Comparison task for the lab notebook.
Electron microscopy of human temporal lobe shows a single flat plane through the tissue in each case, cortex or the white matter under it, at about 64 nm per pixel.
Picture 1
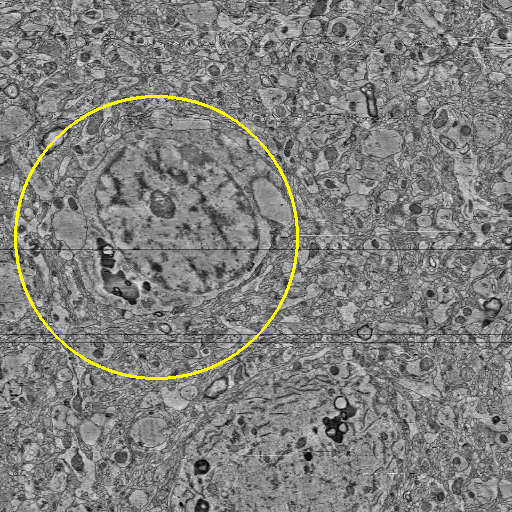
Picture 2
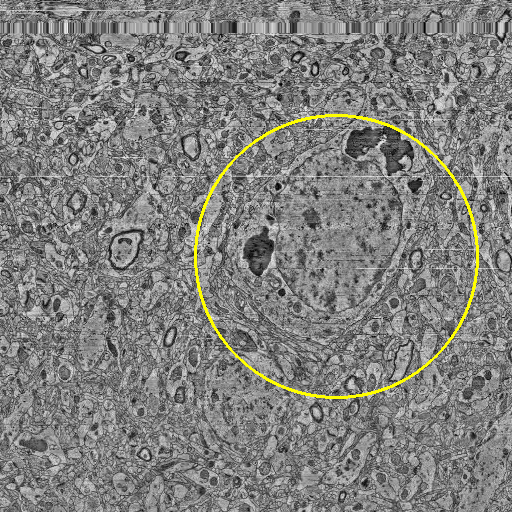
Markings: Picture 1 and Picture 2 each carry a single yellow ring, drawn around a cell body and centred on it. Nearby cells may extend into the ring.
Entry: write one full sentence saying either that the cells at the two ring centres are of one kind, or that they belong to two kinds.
The cells sitting at the ring centres in Picture 1 and Picture 2 are of one kind.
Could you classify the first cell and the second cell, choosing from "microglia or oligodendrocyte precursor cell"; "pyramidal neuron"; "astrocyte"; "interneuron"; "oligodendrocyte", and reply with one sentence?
Each of the ringed cells, first and second, is an interneuron.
